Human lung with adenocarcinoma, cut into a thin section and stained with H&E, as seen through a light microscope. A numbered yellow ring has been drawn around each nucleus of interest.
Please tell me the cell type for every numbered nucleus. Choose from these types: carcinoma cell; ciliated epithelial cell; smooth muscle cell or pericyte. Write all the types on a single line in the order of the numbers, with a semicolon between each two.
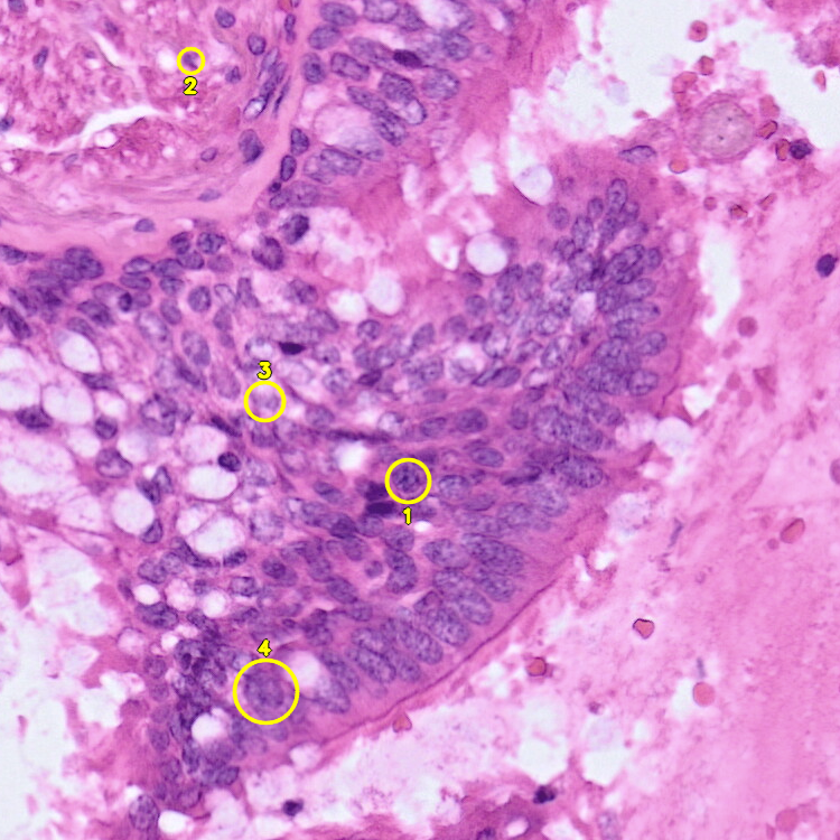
ciliated epithelial cell; smooth muscle cell or pericyte; ciliated epithelial cell; ciliated epithelial cell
